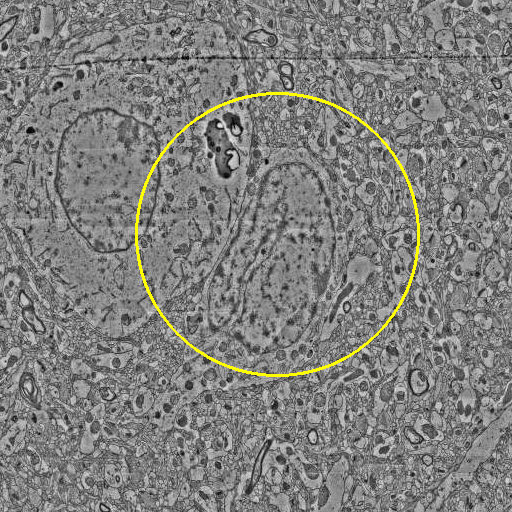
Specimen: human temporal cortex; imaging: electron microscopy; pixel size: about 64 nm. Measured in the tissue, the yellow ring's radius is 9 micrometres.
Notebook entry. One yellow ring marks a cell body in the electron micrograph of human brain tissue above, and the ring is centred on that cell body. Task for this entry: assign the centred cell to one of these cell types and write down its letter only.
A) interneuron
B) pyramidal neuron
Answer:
A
